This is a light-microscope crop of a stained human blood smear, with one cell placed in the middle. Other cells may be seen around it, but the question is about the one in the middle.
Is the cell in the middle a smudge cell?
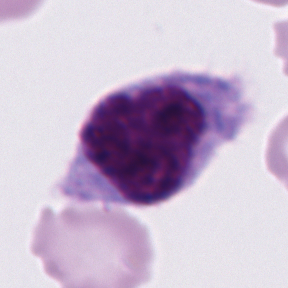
no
